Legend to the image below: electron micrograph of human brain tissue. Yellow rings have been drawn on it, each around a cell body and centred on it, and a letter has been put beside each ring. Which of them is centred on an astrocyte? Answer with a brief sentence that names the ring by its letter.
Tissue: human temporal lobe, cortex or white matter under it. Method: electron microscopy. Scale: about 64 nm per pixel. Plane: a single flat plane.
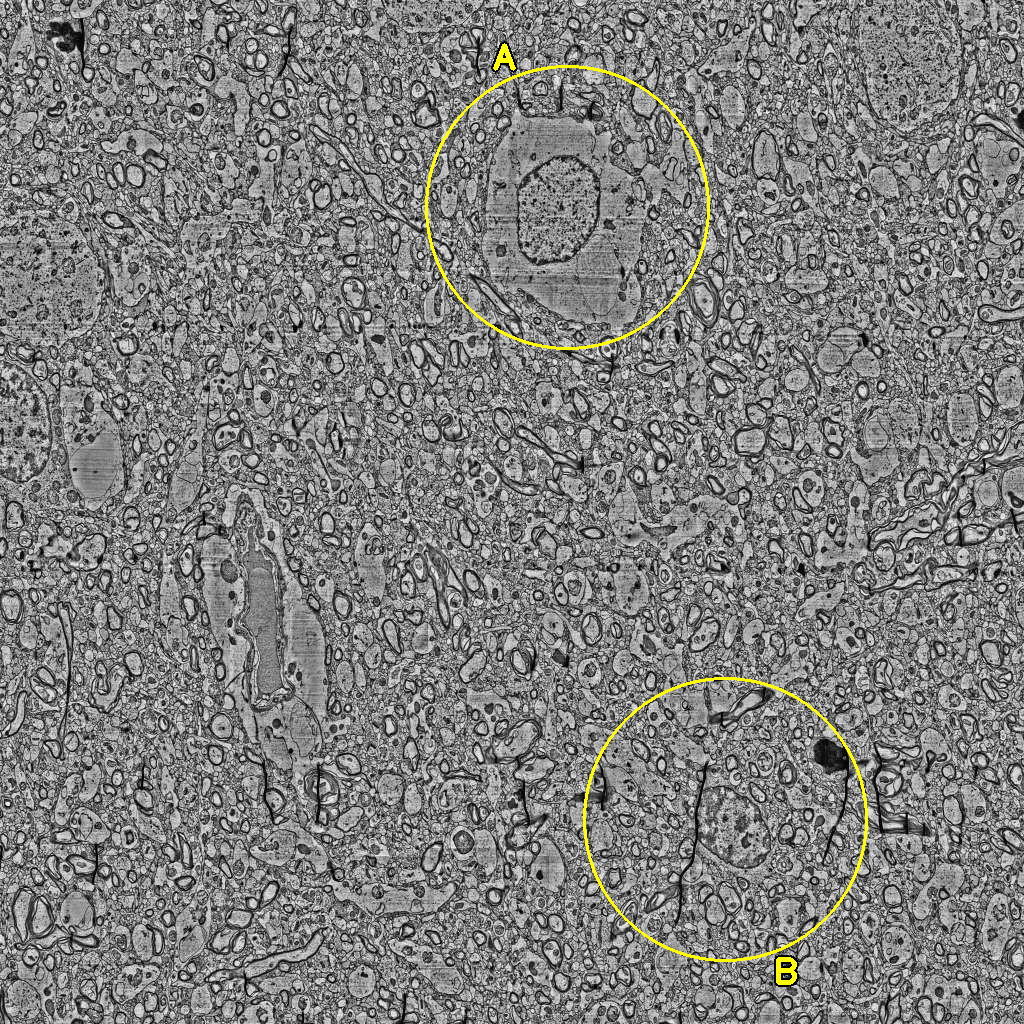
It is the ring lettered A.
